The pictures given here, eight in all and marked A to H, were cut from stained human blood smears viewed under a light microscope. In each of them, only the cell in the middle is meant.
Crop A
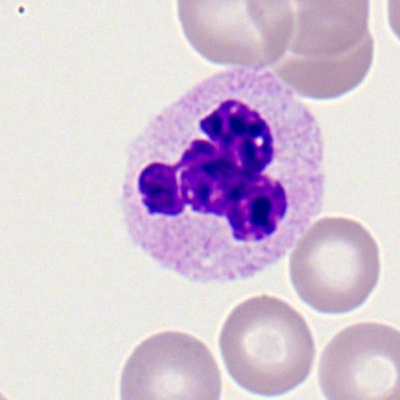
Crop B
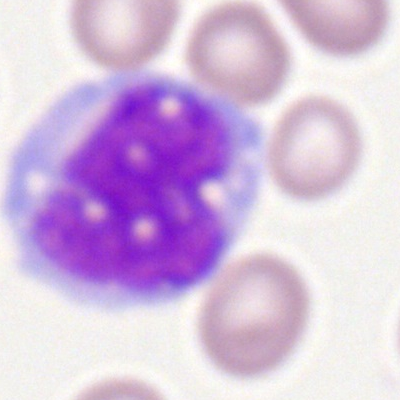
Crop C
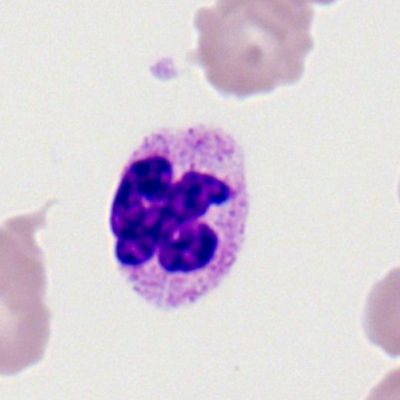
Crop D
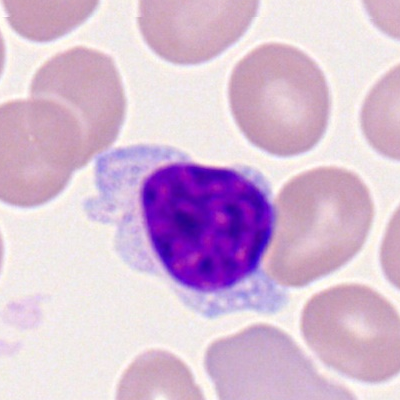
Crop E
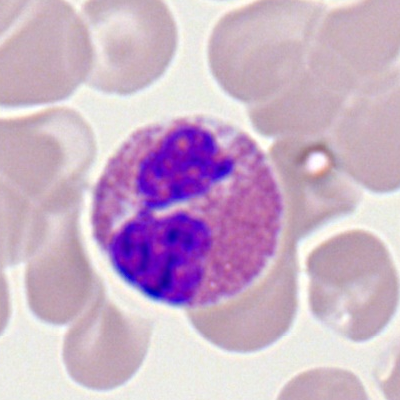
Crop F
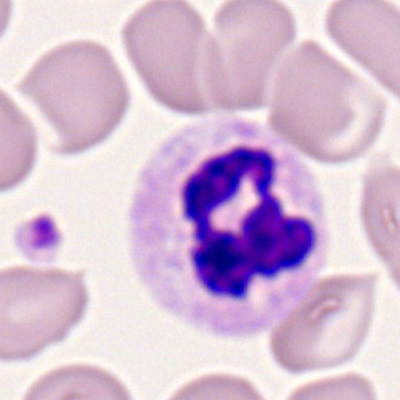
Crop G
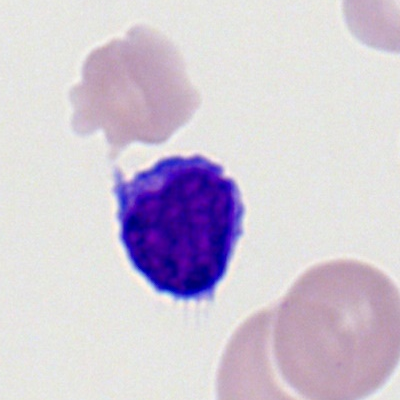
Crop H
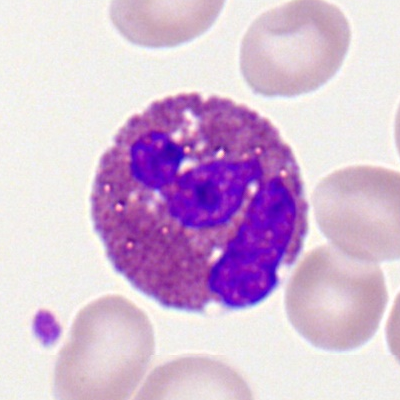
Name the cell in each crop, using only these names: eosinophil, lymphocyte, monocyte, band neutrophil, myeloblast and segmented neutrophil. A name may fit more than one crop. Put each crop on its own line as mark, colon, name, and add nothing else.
A: segmented neutrophil
B: monocyte
C: segmented neutrophil
D: lymphocyte
E: eosinophil
F: segmented neutrophil
G: lymphocyte
H: eosinophil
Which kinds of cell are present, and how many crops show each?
segmented neutrophil: 3
lymphocyte: 2
eosinophil: 2
monocyte: 1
